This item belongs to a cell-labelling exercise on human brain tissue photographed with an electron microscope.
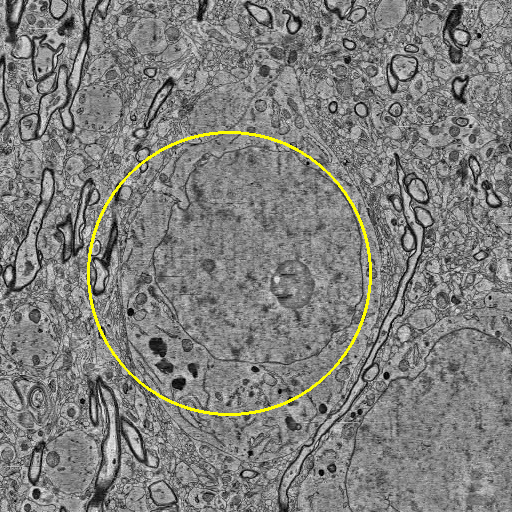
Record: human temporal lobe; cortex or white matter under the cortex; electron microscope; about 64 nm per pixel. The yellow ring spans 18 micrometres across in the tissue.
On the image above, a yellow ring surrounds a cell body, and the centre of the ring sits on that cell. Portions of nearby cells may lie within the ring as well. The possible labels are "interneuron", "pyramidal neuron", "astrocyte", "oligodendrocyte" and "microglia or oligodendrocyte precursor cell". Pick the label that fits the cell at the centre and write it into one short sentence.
This cell should be labelled as a pyramidal neuron.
